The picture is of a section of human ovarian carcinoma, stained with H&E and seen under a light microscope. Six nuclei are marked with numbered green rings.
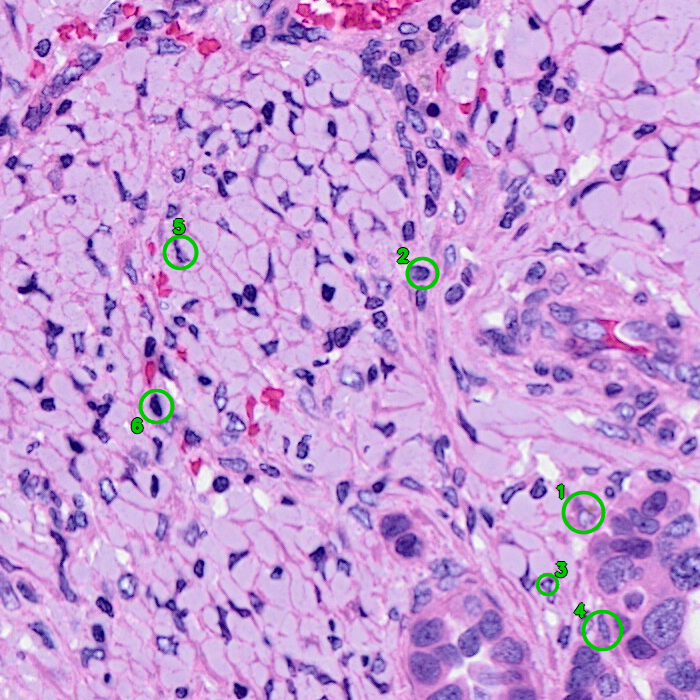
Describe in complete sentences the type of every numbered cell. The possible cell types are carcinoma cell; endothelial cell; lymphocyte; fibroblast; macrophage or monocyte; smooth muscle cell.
Cells 1, 3, 4 and 5 are fibroblasts. Cells 2 and 6 are lymphocytes.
